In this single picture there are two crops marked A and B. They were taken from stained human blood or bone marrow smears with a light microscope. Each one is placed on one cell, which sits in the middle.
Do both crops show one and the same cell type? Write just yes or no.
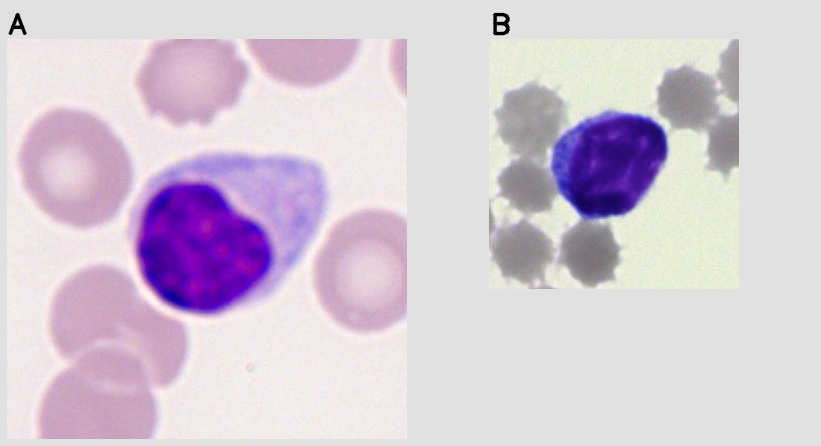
yes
